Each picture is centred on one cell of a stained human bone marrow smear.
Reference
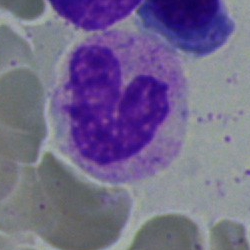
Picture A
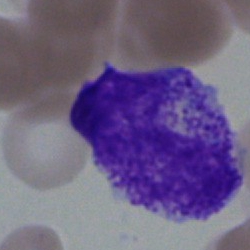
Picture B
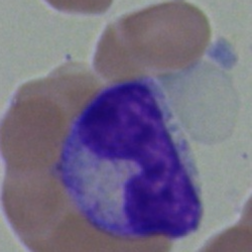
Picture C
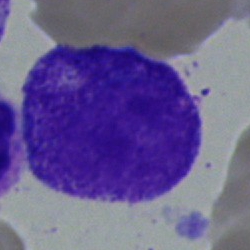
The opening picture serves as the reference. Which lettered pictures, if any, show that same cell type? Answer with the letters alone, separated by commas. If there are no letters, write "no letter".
no letter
